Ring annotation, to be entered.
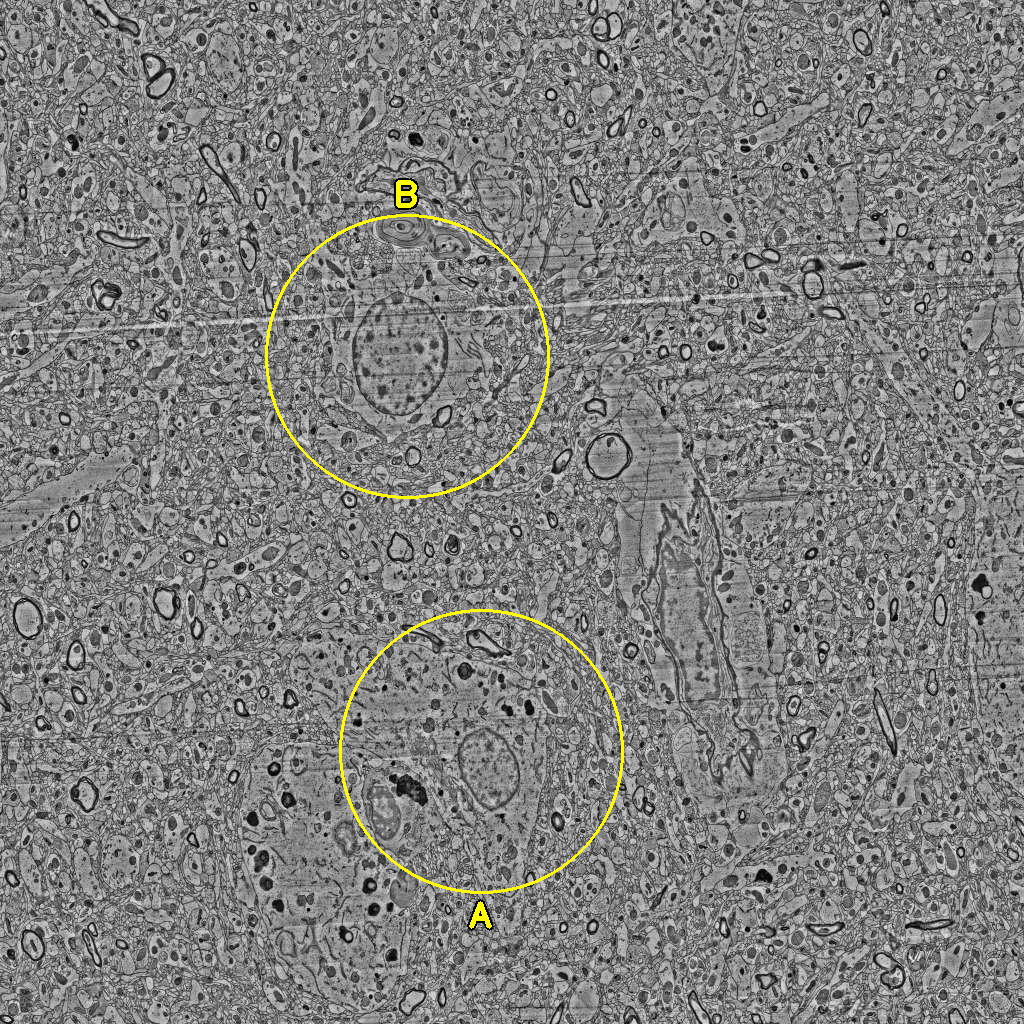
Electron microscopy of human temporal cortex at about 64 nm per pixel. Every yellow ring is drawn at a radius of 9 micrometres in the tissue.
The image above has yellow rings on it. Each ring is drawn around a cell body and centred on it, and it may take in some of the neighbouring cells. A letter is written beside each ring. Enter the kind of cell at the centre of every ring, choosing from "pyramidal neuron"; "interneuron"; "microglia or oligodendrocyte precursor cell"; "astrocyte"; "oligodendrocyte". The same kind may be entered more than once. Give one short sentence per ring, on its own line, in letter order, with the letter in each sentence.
The ring marked A is centred on a pyramidal neuron.
The ring marked B is centred on an astrocyte.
